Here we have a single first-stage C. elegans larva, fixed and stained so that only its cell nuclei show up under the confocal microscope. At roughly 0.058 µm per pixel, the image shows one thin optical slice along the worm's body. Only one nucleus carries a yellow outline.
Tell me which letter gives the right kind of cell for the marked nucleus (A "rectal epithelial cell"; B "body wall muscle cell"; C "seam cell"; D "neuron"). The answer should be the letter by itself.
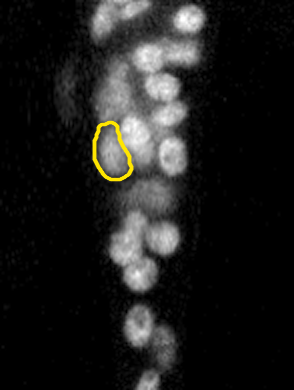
B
